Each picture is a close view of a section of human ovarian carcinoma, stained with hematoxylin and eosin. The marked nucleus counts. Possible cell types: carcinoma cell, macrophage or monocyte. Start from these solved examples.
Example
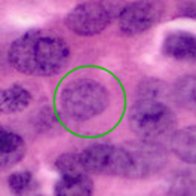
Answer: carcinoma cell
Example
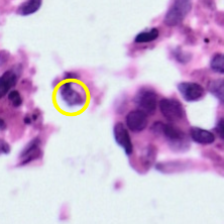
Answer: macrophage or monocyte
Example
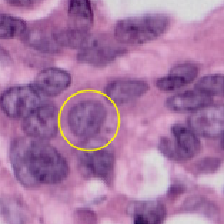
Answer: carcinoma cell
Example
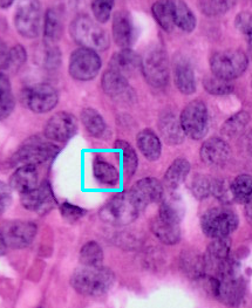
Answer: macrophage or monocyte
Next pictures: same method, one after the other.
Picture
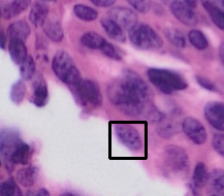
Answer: carcinoma cell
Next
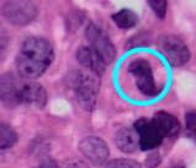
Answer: macrophage or monocyte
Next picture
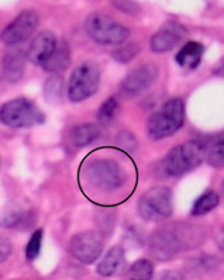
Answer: carcinoma cell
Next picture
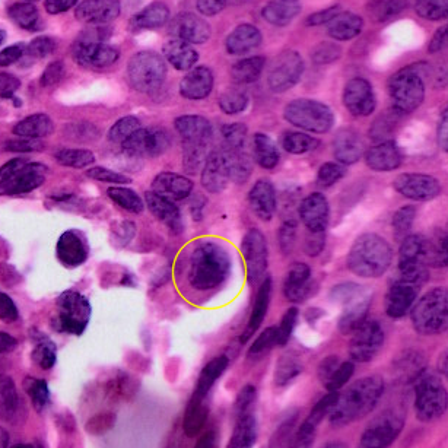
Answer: carcinoma cell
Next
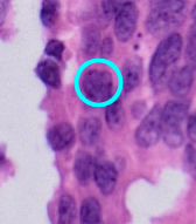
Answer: carcinoma cell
